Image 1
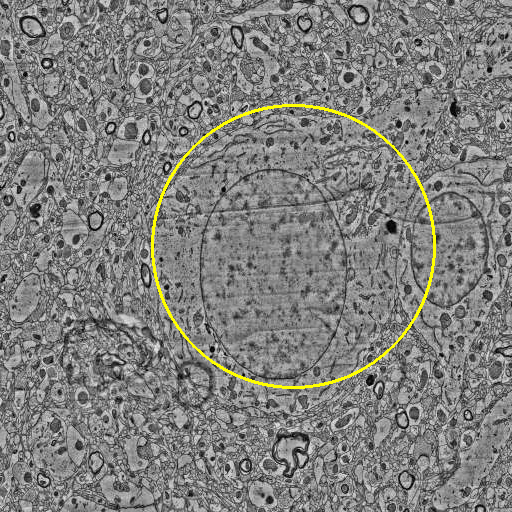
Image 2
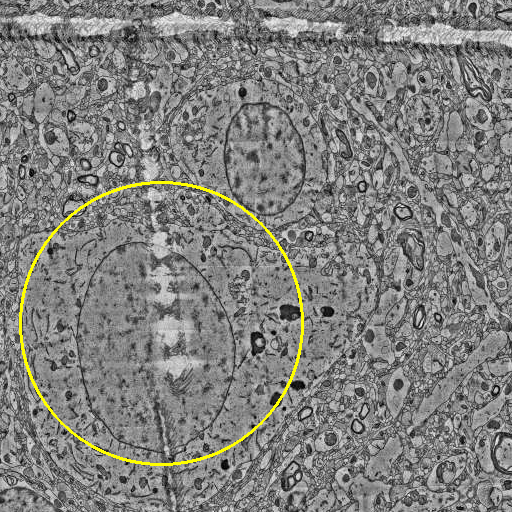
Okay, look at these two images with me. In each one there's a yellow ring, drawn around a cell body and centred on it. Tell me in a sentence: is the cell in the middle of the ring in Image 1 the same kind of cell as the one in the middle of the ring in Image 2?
Yes, they're the same kind of cell.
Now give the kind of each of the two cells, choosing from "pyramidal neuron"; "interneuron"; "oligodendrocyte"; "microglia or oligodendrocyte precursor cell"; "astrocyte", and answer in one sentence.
Each of the ringed cells, first and second, is a pyramidal neuron.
